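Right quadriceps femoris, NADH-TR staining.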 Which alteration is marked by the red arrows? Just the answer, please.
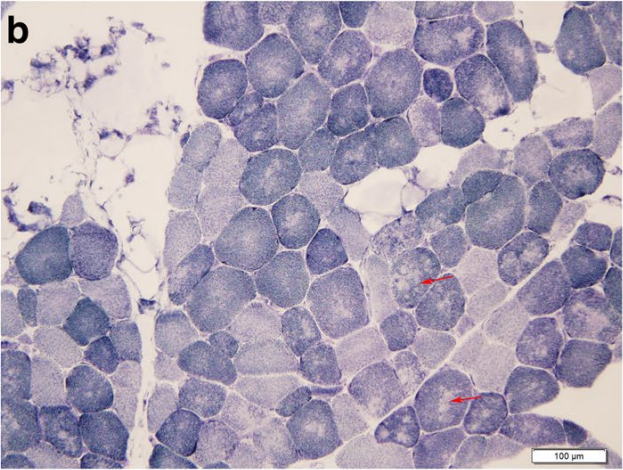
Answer: Minicores.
